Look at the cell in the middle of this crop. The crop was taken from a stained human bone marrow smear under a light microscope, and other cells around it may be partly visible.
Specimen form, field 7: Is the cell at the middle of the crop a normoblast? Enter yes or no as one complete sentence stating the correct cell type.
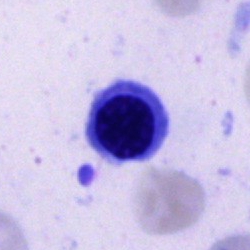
Yes, the cell that the crop is centered on is a normoblast.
